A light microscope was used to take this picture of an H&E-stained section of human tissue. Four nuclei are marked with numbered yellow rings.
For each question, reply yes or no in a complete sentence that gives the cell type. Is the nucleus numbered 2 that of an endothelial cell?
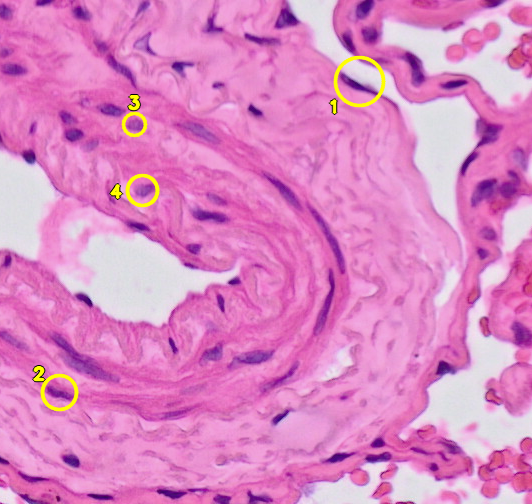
No, cell 2 does not represent an endothelial cell; it represents a smooth muscle cell or pericyte.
